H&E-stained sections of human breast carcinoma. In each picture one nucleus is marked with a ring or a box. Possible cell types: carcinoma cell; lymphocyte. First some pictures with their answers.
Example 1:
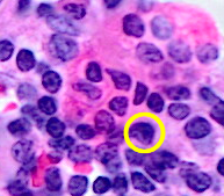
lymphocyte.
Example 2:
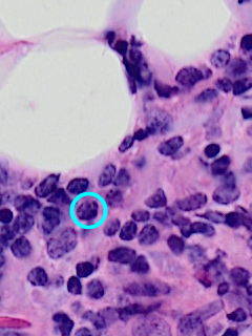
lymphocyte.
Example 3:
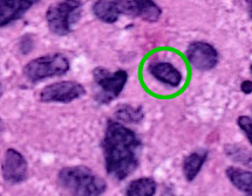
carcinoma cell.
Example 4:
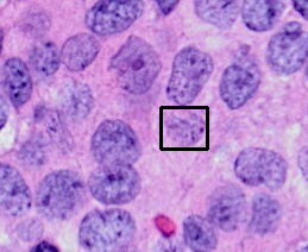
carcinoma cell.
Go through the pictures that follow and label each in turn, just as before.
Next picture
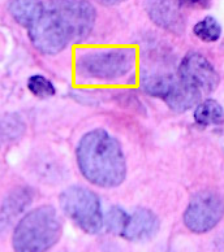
carcinoma cell.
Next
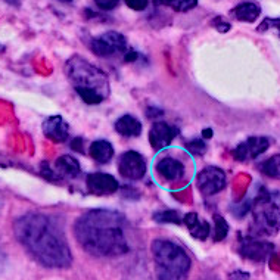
lymphocyte.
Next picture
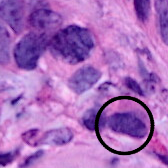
carcinoma cell.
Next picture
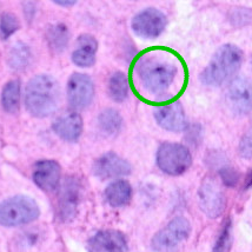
carcinoma cell.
